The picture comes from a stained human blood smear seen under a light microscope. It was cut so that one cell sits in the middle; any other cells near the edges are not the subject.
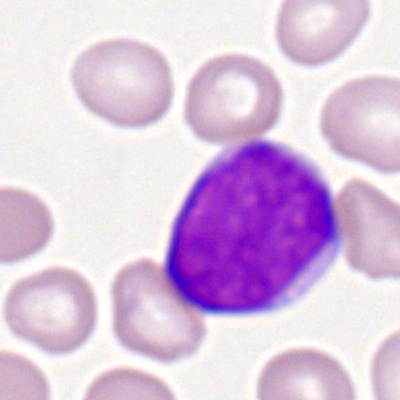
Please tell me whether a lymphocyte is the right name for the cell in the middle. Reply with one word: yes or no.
no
